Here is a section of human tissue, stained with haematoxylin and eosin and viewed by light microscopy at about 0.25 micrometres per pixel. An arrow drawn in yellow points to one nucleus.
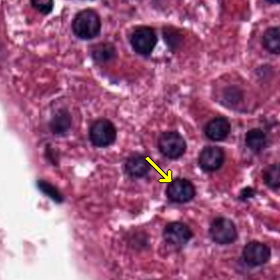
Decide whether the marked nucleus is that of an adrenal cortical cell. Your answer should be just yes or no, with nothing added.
yes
